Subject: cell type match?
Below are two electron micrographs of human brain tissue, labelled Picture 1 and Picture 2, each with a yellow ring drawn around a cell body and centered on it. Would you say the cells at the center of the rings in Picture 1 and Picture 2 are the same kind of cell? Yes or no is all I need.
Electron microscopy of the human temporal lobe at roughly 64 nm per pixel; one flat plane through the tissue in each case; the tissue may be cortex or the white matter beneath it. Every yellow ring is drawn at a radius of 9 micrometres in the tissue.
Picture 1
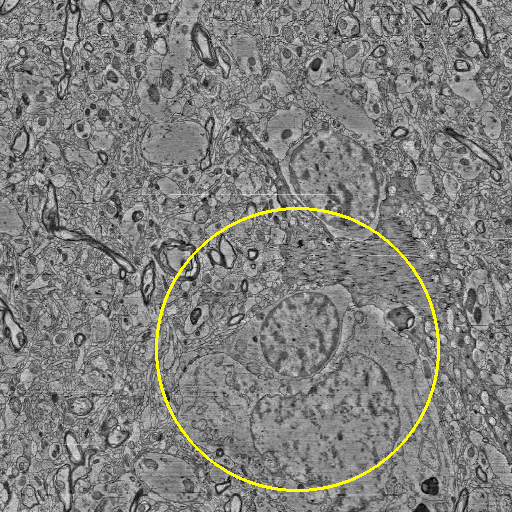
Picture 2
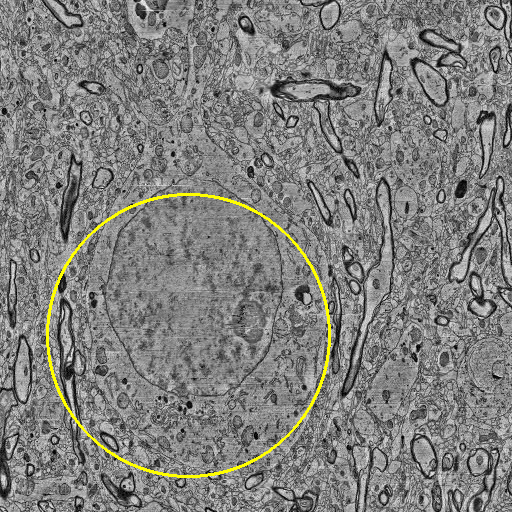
no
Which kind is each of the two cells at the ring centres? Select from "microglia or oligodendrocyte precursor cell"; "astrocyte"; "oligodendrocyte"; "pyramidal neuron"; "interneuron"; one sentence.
The cell at the centre of the ring is an oligodendrocyte in the first picture and a pyramidal neuron in the second.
